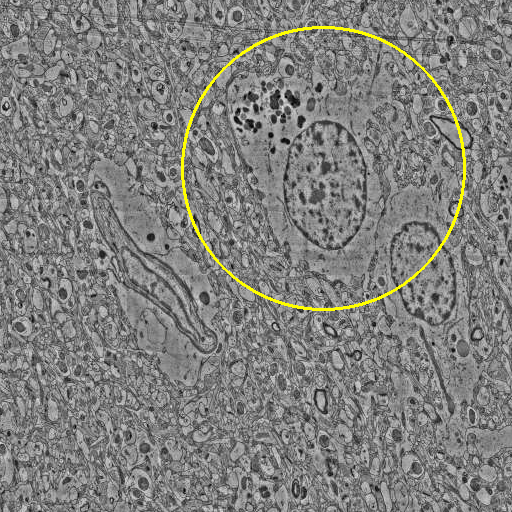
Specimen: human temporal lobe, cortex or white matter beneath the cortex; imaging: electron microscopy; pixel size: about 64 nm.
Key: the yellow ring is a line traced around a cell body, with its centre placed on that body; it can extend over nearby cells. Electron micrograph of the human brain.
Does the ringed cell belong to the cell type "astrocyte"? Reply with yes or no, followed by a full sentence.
Yes, the cell at the centre of the yellow ring in the picture is of that type.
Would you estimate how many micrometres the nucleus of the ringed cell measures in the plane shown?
In this plane, approximately 8 by 5 micrometers.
